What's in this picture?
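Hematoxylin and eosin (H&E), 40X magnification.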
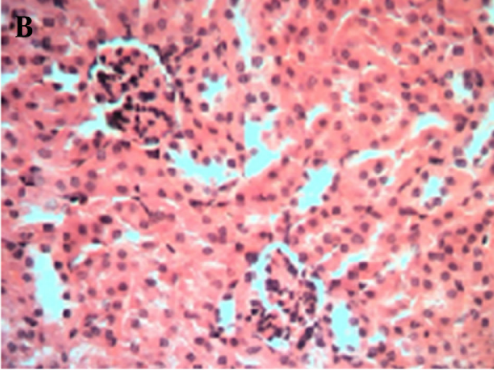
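Kidney cortex with two glomeruli among tubules. Each glomerulus is a compact, rounded tuft of dark purple nuclei, set within a narrow clear space inside its capsule: one sits in the upper left, the other in the lower centre. Around them lie many tubules lined by cuboidal cells with pink, finely granular cytoplasm and round purple nuclei. Small clear lumens and gaps lie scattered between the tubules. The tubules are packed closely in an even pattern, without marked widening of their lumens, and the glomerular tufts are of ordinary size.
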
